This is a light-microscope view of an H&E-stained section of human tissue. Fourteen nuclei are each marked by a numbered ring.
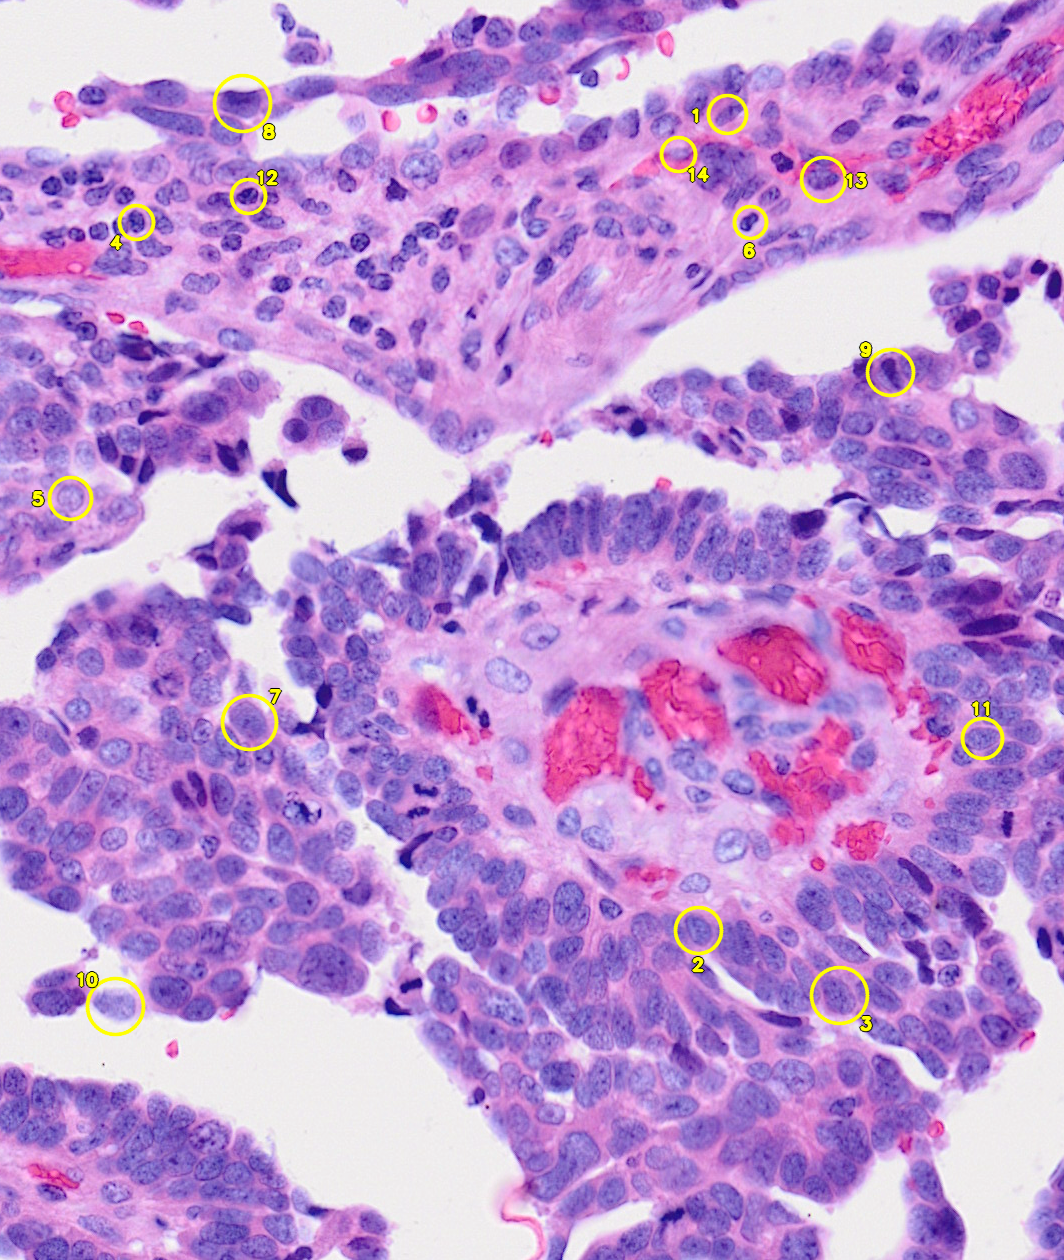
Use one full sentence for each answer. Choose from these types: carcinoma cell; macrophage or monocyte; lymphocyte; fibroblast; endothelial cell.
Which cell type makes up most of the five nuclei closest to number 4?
Most of the five nuclei nearest to number 4 are those of macrophages or monocytes.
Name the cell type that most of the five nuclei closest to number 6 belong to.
Endothelial cells make up most of the five nuclei closest to number 6.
